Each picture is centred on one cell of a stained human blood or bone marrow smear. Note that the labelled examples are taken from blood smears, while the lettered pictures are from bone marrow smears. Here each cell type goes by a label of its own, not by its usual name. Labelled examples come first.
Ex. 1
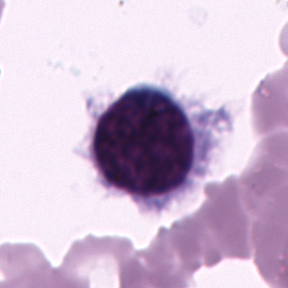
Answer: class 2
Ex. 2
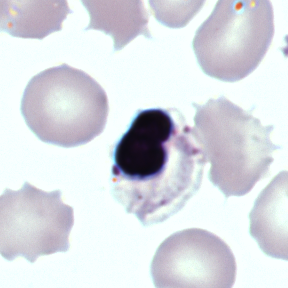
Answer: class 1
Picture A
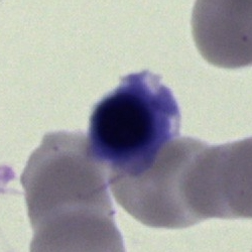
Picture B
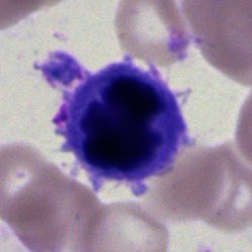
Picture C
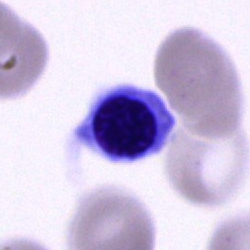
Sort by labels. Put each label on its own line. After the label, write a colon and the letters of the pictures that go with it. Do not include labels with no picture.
class 1: A, B, C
